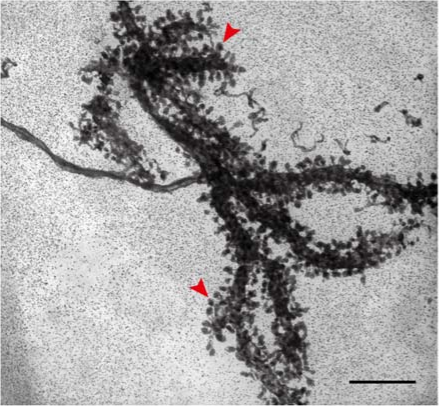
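Nearly every branch is crowded along its full length with dendritic spines, short protrusions with rounded, bulbous heads, giving the branches a beaded, knobbly outline. Spines are so dense that many overlap the shaft. A few thin wavy fibres lie free in the background near the upper branches.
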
